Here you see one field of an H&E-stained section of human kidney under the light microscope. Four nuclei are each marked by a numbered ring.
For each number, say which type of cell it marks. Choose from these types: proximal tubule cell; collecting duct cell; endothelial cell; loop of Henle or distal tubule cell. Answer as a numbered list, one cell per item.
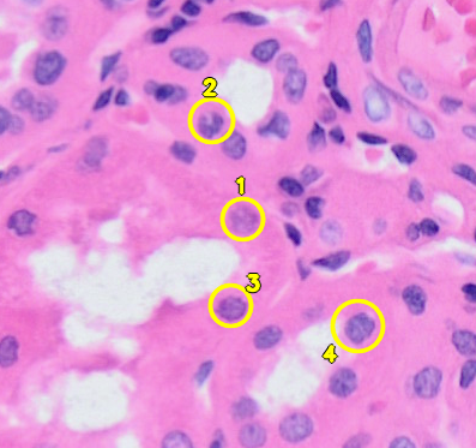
1. proximal tubule cell
2. collecting duct cell
3. proximal tubule cell
4. loop of Henle or distal tubule cell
